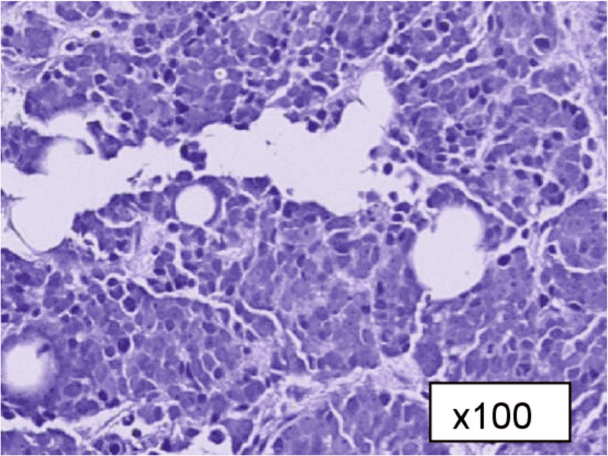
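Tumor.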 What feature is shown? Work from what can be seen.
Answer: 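Tumor cells are packed in solid groups. Thin pale strands of stroma run between the groups.
Answer: nests of cells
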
